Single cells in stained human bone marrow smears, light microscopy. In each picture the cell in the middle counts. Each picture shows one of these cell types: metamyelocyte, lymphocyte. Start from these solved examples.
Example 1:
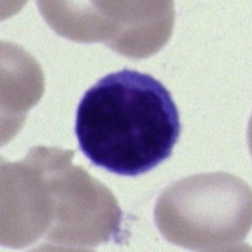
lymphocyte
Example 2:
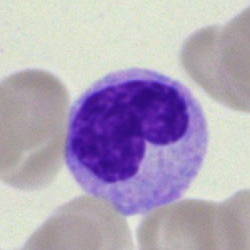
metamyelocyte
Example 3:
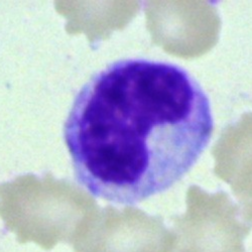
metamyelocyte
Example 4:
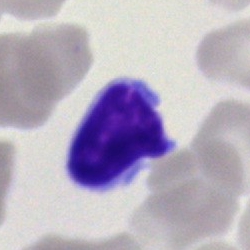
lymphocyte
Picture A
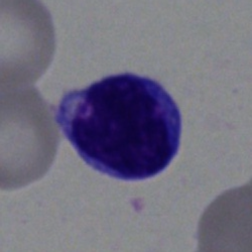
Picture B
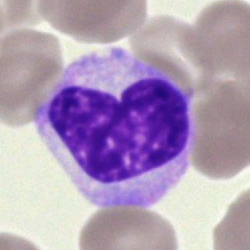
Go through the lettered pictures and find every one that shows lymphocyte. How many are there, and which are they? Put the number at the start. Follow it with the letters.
1: A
